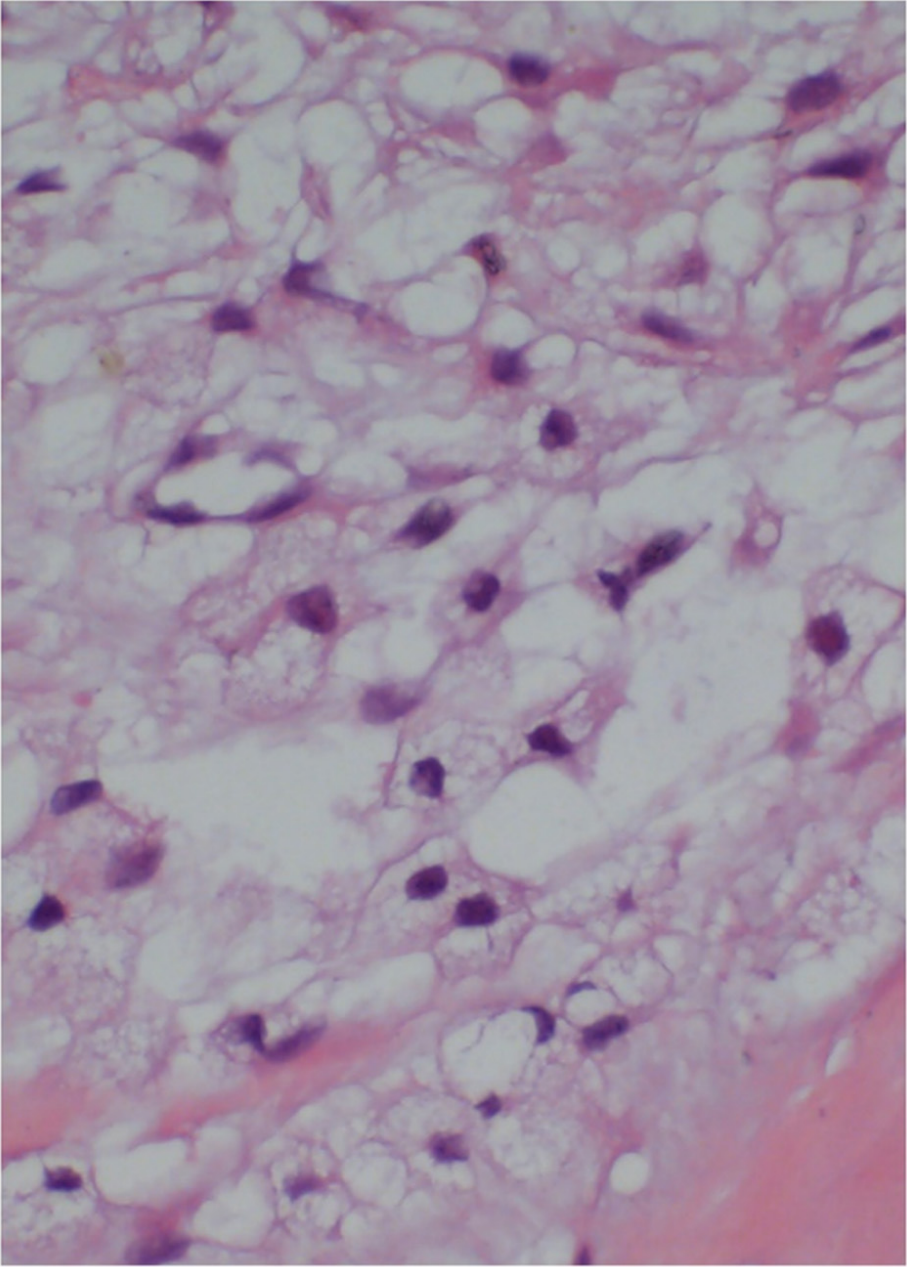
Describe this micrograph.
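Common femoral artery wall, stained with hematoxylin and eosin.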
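Most of the field is loose, pale, bubbly lilac material broken up by many clear spaces of varying size. Cells with small round or spindle-shaped dark purple nuclei lie scattered within it, some with foamy, finely vacuolated cytoplasm. Dense pink fibrous tissue borders the lower edge.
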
